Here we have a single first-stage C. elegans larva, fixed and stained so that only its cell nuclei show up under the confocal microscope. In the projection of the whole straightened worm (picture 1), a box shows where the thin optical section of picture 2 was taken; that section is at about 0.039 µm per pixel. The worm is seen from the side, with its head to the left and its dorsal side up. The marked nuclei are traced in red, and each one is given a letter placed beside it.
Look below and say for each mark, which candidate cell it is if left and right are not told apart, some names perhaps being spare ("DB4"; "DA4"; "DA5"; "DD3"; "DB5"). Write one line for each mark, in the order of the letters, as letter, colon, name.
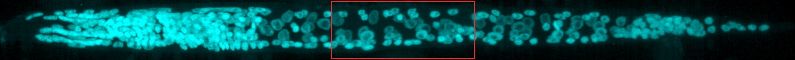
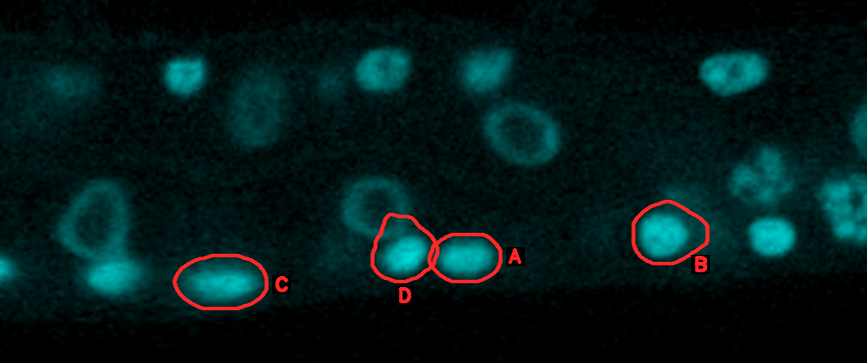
A: DD3
B: DB5
C: DB4
D: DA4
